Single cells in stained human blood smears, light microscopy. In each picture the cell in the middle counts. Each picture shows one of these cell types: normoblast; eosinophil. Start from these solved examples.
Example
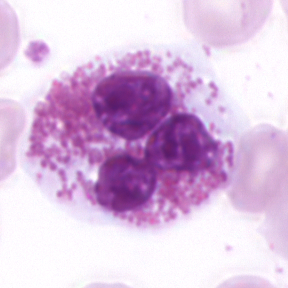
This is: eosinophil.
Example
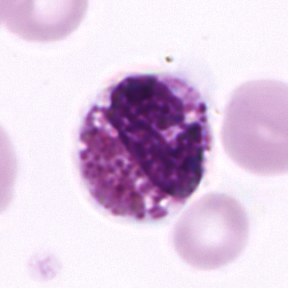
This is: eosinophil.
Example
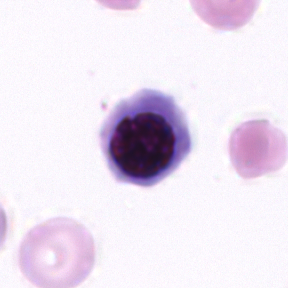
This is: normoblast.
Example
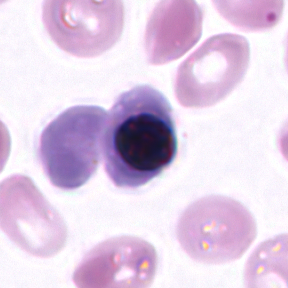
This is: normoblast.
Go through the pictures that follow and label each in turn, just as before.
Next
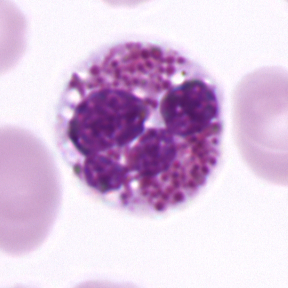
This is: eosinophil.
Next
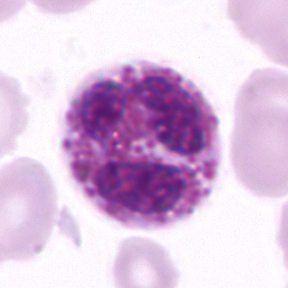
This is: eosinophil.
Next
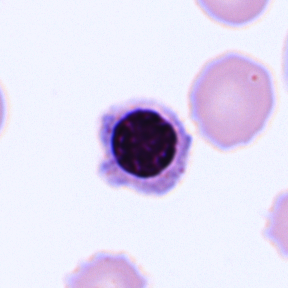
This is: normoblast.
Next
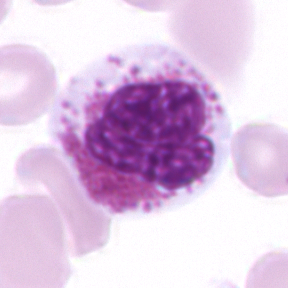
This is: eosinophil.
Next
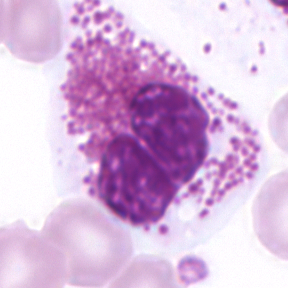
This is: eosinophil.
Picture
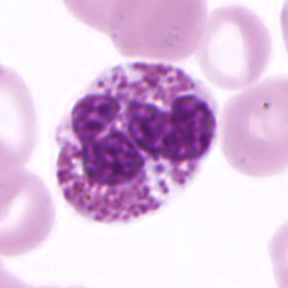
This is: eosinophil.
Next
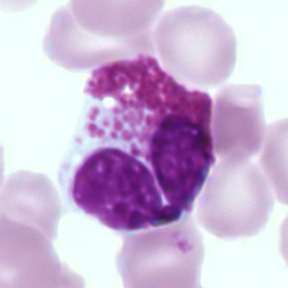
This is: eosinophil.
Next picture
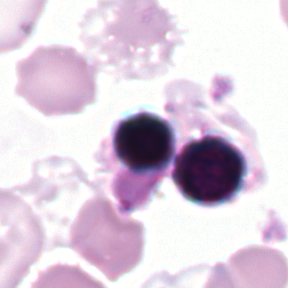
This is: normoblast.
